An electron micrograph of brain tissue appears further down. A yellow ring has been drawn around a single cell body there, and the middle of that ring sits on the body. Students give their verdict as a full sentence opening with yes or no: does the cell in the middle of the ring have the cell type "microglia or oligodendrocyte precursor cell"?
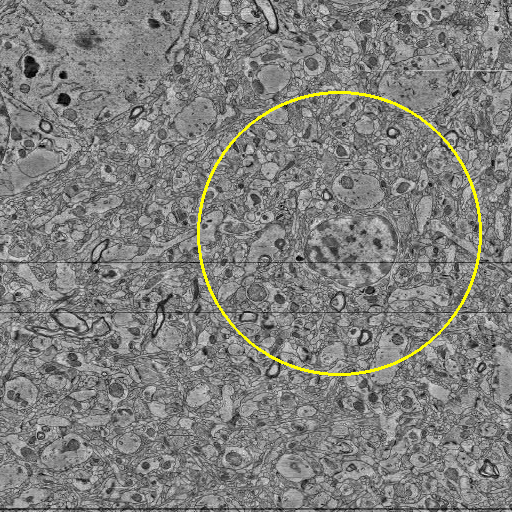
Yes, in this picture the cell sitting at the middle of the ring has that cell type.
